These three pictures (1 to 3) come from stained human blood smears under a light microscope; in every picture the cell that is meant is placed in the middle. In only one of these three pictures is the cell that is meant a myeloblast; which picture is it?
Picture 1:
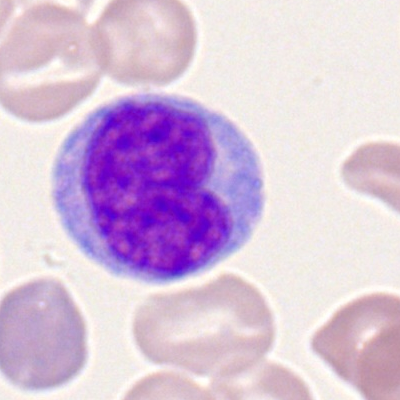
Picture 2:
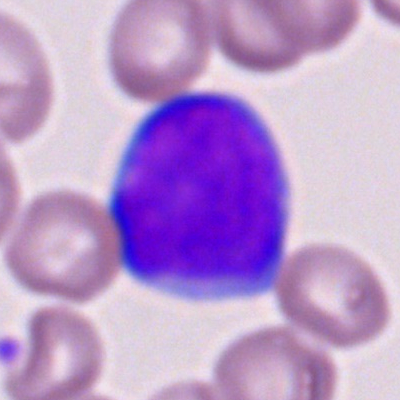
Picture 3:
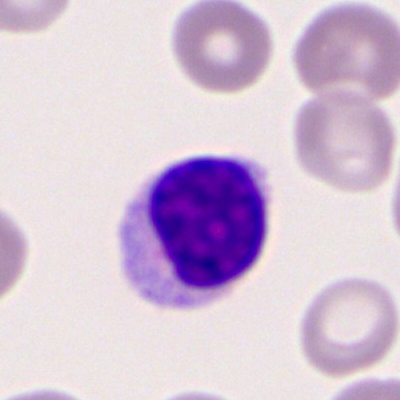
2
